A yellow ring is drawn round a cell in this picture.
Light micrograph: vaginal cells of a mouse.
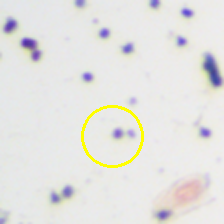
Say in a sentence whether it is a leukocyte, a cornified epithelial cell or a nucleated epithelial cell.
The cell in the ring is a leukocyte.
